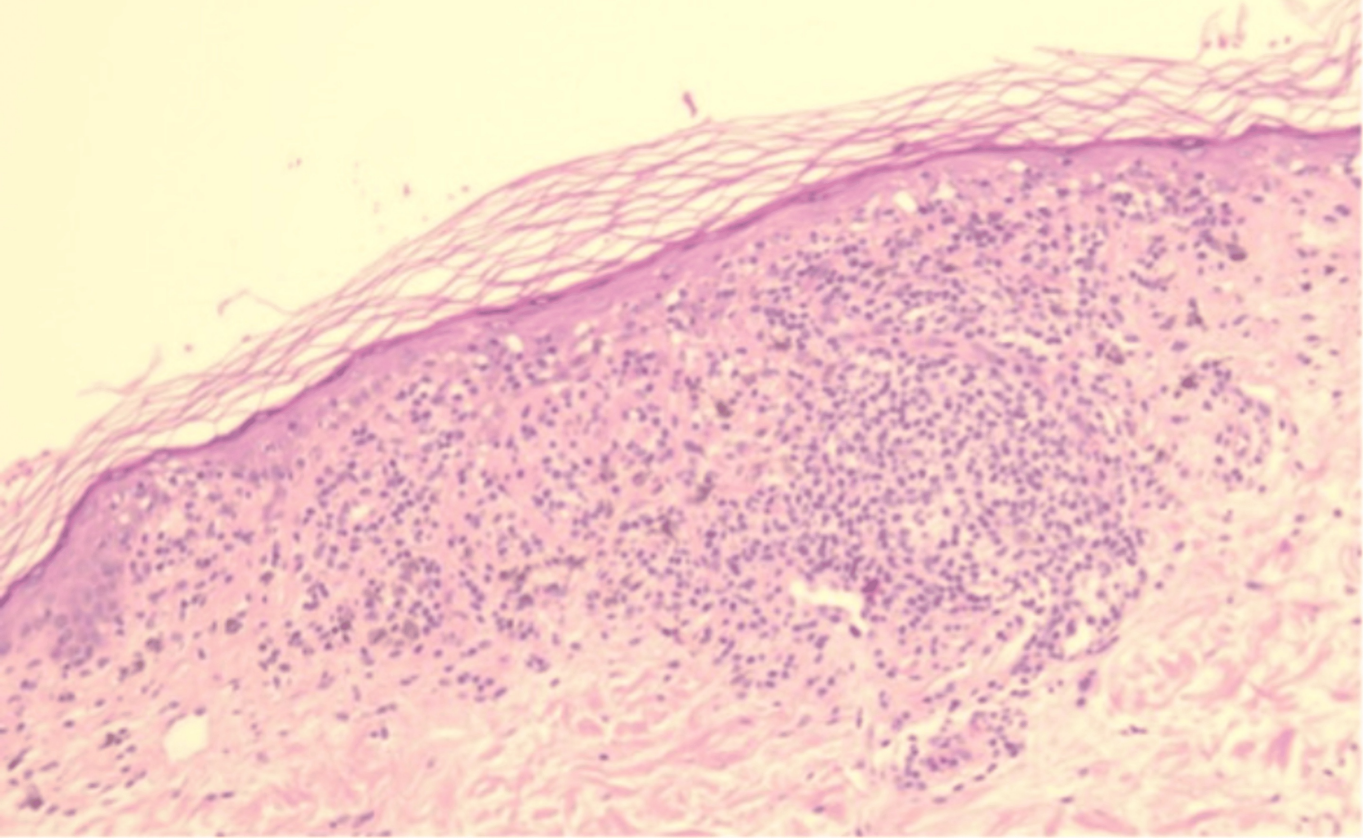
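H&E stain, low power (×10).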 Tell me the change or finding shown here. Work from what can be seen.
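Dense band-like lymphocytic infiltrate at the dermoepidermal junction. A dense band of small, dark, round nuclei lies directly beneath the epidermis. The band runs along the junction between epidermis and dermis. The deeper dermis below the band is much less cellular, with pink collagen.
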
